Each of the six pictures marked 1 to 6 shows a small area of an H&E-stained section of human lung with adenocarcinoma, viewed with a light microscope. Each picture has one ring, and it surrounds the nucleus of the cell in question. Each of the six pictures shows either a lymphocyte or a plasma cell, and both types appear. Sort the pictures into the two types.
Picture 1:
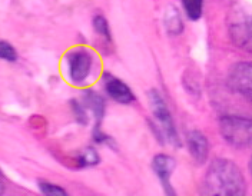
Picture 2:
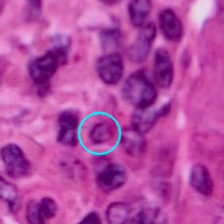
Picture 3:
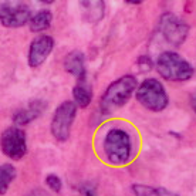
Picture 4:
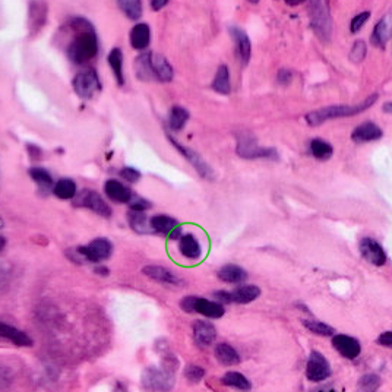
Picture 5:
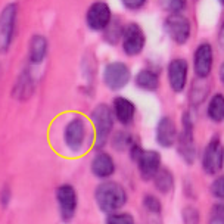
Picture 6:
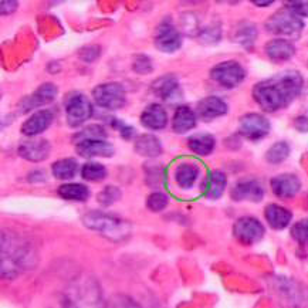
1: plasma cell
2: plasma cell
3: lymphocyte
4: lymphocyte
5: lymphocyte
6: lymphocyte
